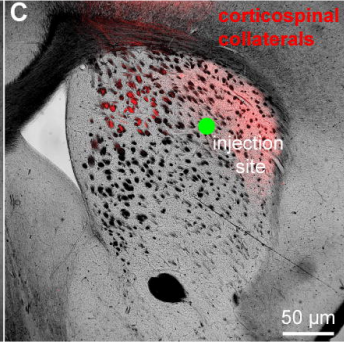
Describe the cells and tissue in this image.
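This is a section through the striatum seen in grey transmitted light with red fluorescence laid over it. The grey matter is peppered with many small dark round and oval islands: these are bundles of fibers cut across as they pass through. Over the top runs a thick dark band of white matter, and at the upper left is a pale empty cavity. Red light gathers mainly in the upper and lateral part of the region, as a haze with some brighter red dots among the fiber bundles. A long thin straight line, probably a track or fold, crosses the lower part.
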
